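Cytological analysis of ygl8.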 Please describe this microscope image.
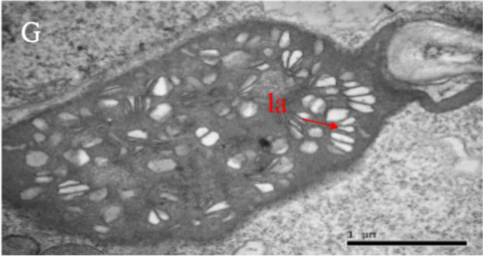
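A single chloroplast is shown at high magnification by transmission electron microscopy, elongated and lying in grey cytoplasm next to the cell wall. Instead of an even, dense interior with orderly stacked membranes, it is riddled with many pale, irregular empty-looking spaces between the internal membranes.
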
